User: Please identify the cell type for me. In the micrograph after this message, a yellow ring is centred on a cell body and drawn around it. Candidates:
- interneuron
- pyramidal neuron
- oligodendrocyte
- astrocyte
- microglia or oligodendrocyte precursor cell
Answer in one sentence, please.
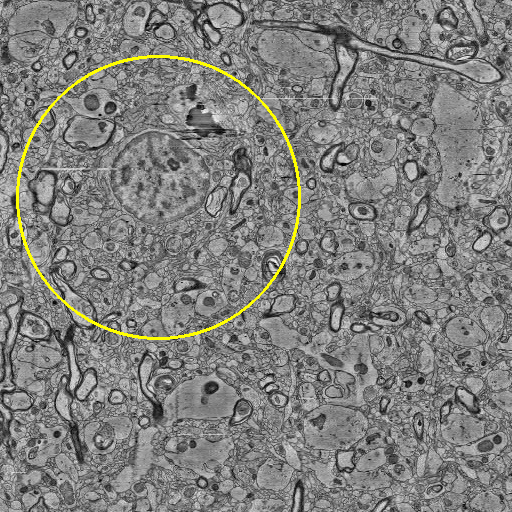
The ring is drawn around the cell body of an oligodendrocyte.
